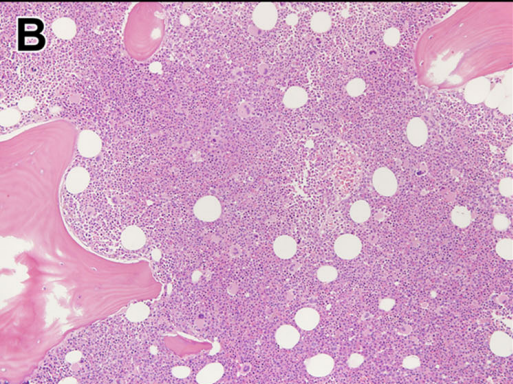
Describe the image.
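This is a bone marrow core biopsy with pink bony trabeculae at the edges and a densely cellular marrow space between them. The marrow cells are packed into sheets with little room left, and only scattered round clear fat vacuoles remain. The cells are small at this magnification, with purple nuclei and pinkish cytoplasm. Occasional larger cells stand out within the crowded marrow.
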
